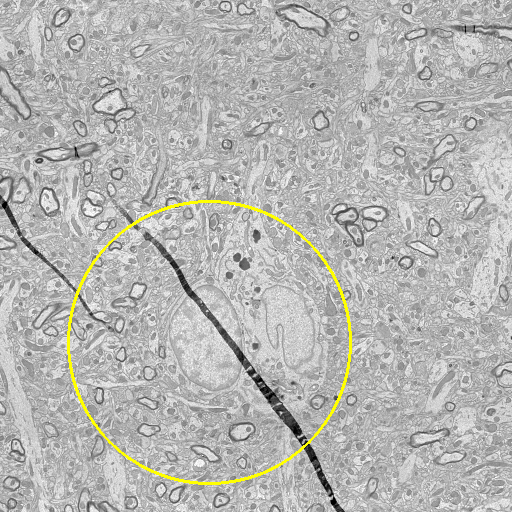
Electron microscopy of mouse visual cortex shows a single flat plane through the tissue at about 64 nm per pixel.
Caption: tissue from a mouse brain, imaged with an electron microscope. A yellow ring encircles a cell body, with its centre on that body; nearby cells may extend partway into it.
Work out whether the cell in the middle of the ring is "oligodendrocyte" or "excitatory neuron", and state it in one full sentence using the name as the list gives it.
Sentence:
In the picture, the cell that the yellow ring surrounds at its centre is an oligodendrocyte.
